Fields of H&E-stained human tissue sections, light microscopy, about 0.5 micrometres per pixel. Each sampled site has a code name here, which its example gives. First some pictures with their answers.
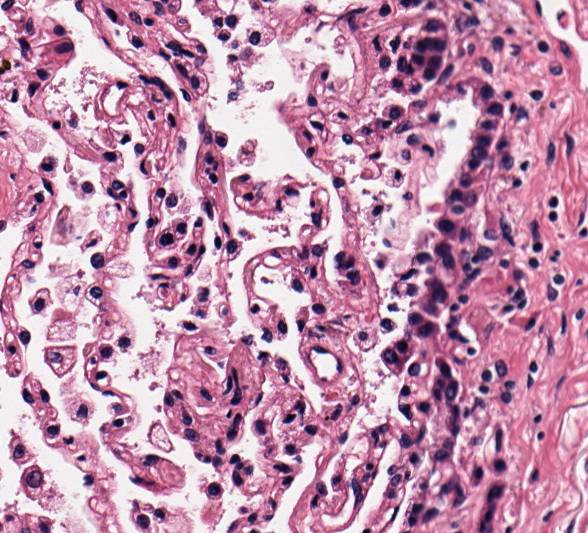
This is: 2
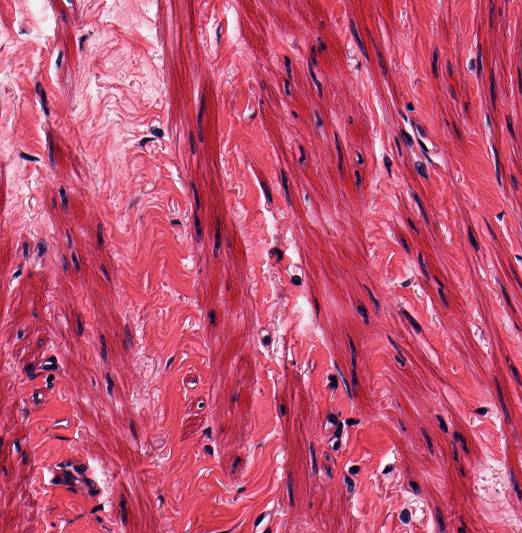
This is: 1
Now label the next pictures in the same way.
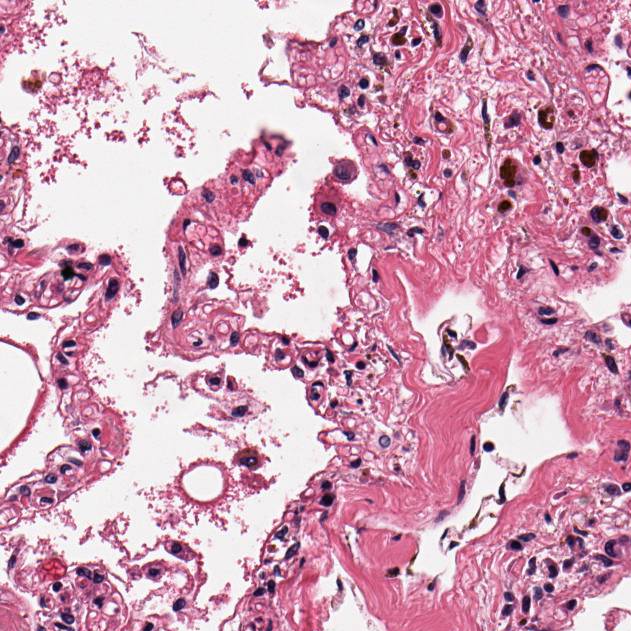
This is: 2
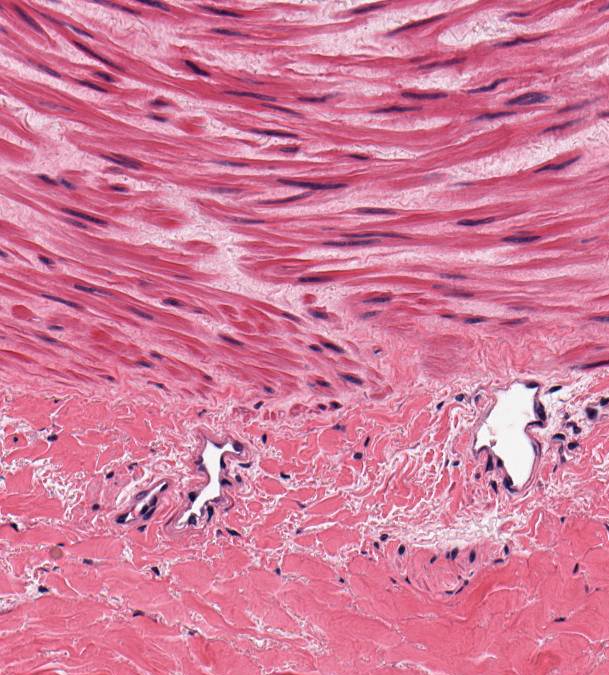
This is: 1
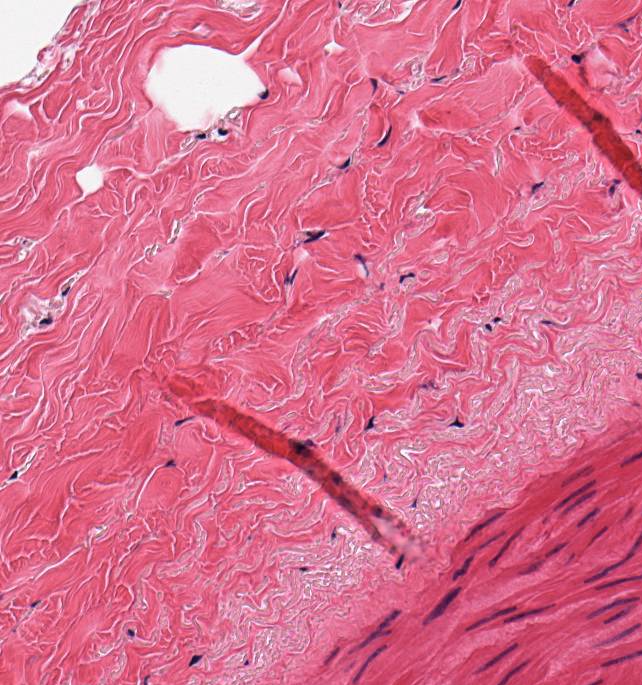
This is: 1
